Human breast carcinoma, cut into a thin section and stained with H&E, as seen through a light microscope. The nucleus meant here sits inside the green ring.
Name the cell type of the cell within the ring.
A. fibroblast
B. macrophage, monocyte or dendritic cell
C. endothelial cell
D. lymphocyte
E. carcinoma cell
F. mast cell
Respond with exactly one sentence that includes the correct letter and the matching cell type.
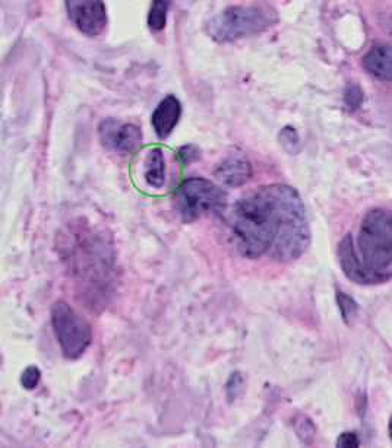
Option D is right in classifying the cell within the ring as a lymphocyte.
